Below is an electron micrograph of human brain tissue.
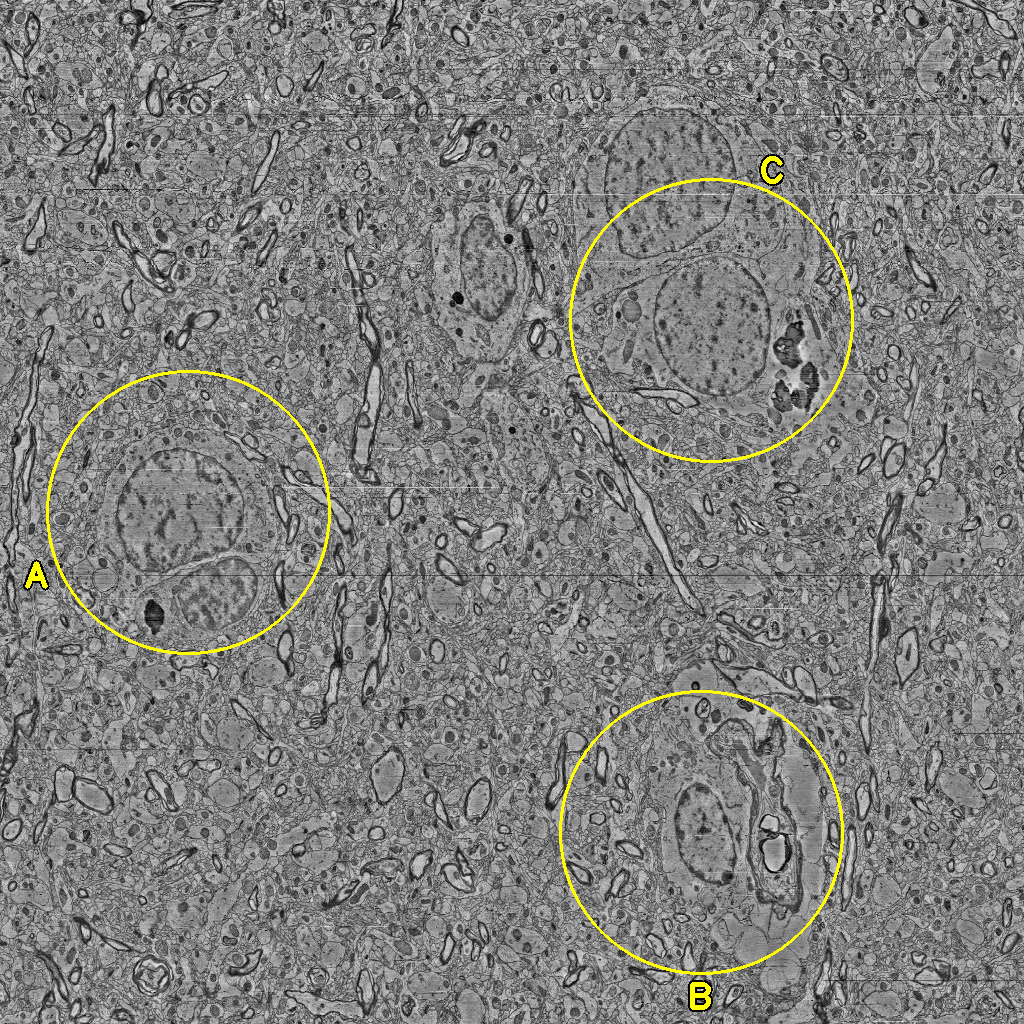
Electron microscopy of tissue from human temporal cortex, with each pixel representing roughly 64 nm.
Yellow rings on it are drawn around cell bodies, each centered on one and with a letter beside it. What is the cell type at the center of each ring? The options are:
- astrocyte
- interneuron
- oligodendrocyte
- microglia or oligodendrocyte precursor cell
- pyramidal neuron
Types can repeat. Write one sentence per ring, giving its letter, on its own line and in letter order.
At the center of ring A is an interneuron.
At the center of ring B is a microglial cell or oligodendrocyte precursor cell.
At the center of ring C is an astrocyte.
